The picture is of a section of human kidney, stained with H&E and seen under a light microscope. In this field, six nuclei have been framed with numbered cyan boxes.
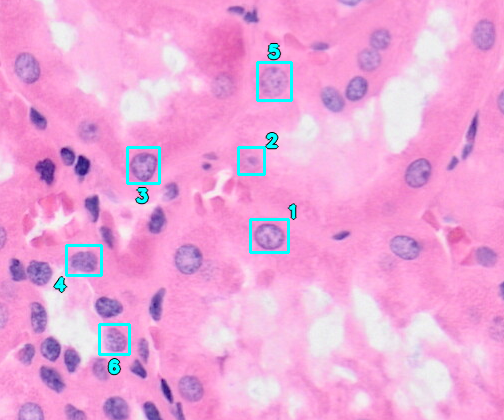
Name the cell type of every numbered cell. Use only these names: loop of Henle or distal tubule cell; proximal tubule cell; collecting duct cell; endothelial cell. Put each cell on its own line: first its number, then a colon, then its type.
1: proximal tubule cell
2: proximal tubule cell
3: proximal tubule cell
4: loop of Henle or distal tubule cell
5: proximal tubule cell
6: loop of Henle or distal tubule cell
